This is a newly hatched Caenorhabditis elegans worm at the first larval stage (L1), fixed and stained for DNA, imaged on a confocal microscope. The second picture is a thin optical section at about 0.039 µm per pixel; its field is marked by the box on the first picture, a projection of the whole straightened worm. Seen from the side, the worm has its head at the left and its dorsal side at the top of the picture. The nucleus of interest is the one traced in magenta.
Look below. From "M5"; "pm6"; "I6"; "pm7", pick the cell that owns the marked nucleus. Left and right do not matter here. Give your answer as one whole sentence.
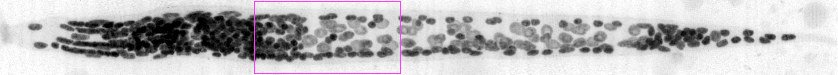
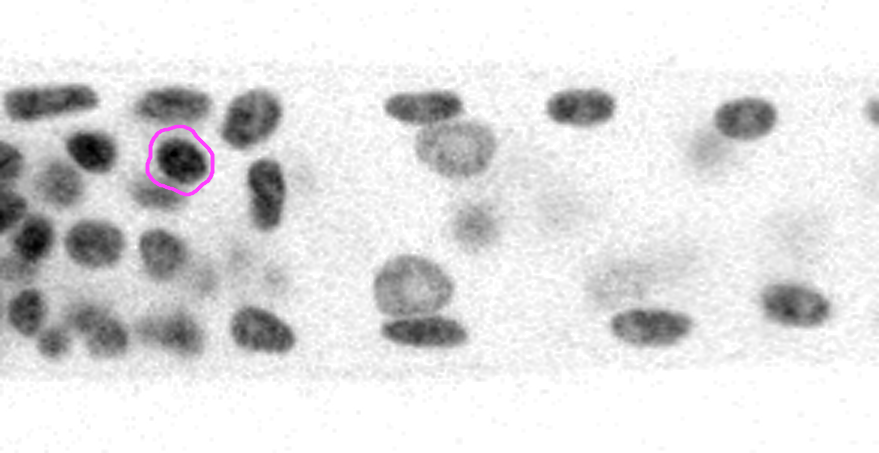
The marked nucleus belongs to M5, a neuron.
